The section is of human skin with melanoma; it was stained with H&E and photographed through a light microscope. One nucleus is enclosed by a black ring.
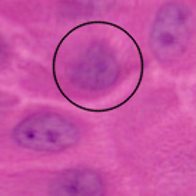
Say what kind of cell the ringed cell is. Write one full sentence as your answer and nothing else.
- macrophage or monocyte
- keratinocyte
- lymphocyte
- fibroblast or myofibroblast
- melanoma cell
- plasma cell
Labelled by cell type, the ringed cell is a keratinocyte.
